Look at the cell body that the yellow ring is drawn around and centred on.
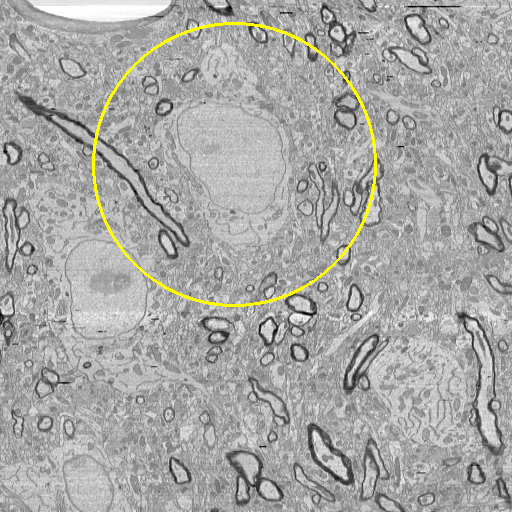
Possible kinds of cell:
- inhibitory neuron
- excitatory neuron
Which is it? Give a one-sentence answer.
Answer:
The centred cell body is that of an excitatory neuron.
